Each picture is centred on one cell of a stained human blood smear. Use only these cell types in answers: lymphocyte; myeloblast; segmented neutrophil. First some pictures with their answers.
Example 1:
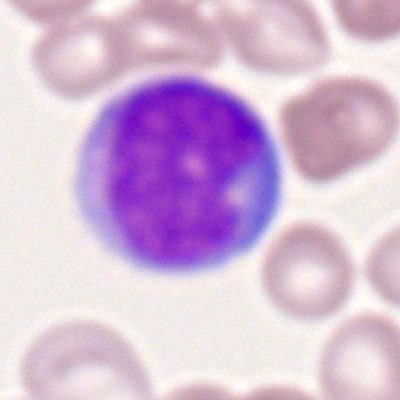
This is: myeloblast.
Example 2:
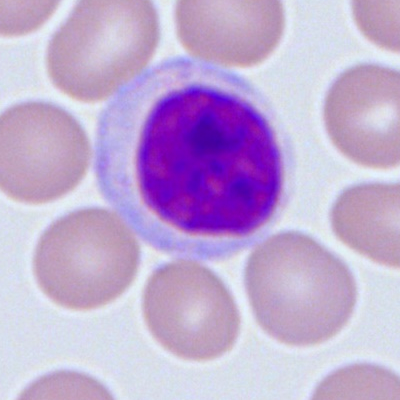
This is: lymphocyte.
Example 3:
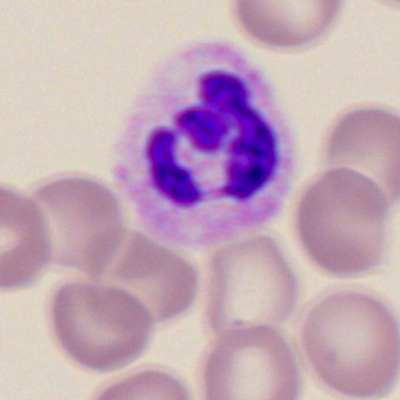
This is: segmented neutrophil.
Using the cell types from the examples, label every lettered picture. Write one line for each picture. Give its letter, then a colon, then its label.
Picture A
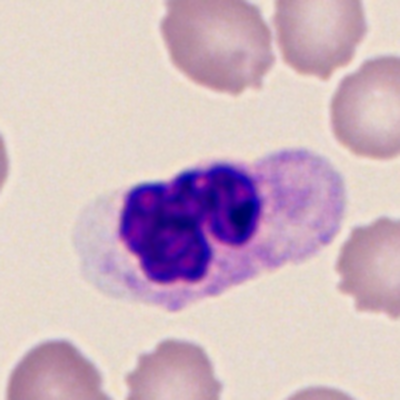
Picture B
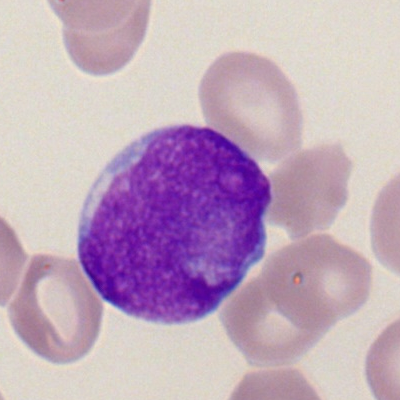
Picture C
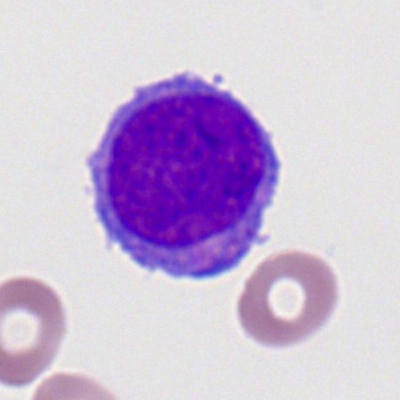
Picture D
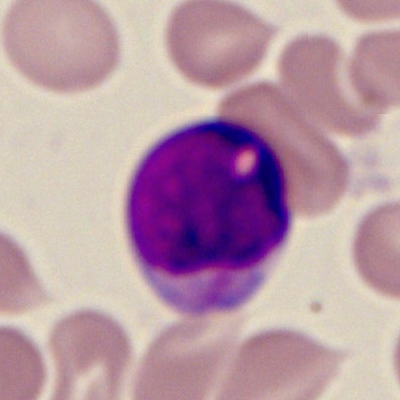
A: segmented neutrophil.
B: myeloblast.
C: myeloblast.
D: myeloblast.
